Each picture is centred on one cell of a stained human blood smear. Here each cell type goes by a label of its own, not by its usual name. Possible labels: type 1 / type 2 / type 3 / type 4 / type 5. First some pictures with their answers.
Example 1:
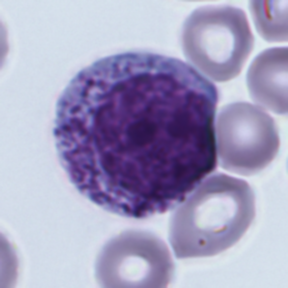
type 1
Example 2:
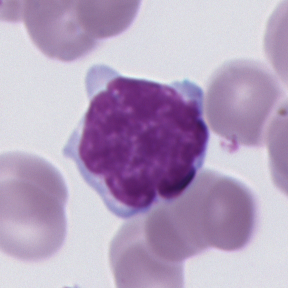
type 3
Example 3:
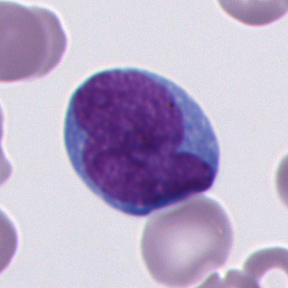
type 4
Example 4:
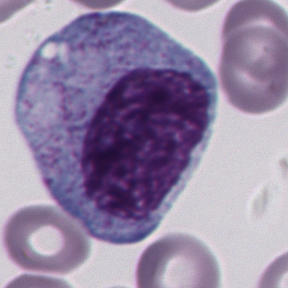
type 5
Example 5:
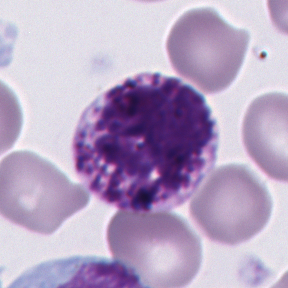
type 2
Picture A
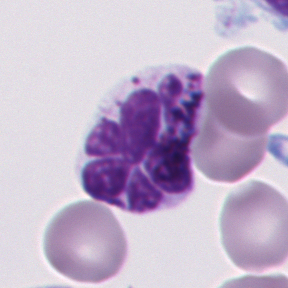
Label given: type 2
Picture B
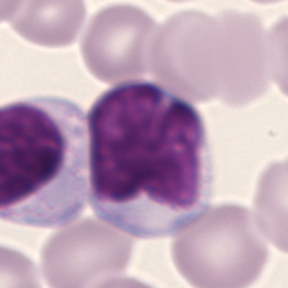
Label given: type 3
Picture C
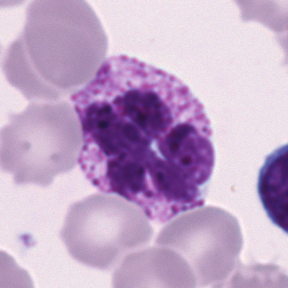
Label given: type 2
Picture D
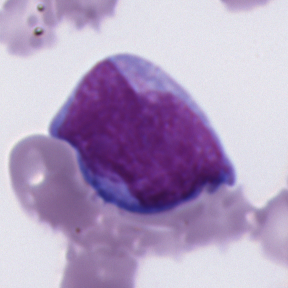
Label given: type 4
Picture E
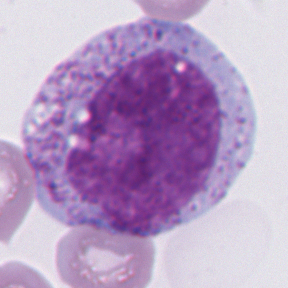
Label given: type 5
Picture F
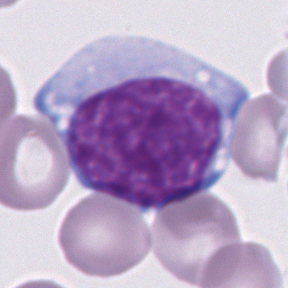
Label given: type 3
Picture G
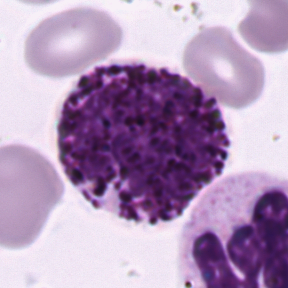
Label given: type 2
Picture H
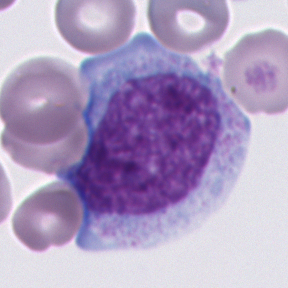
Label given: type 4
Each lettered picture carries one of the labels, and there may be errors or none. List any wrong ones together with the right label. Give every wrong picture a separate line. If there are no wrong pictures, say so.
F is labelled type 3; correct label: type 4
H is labelled type 4; correct label: type 5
